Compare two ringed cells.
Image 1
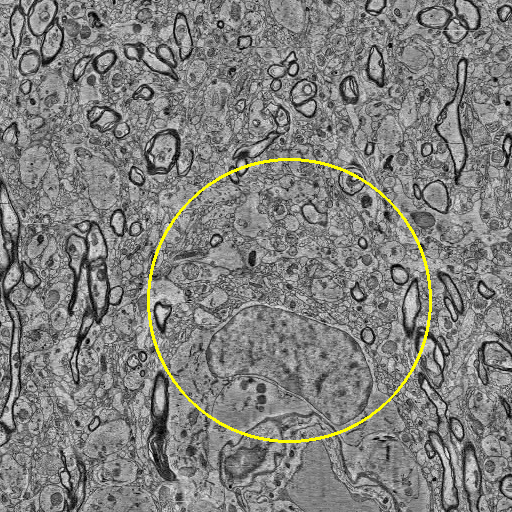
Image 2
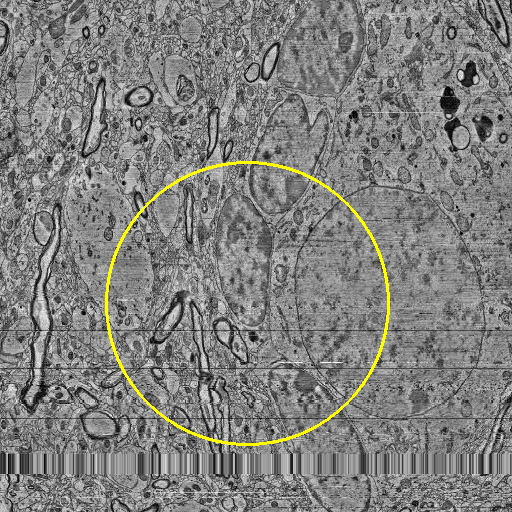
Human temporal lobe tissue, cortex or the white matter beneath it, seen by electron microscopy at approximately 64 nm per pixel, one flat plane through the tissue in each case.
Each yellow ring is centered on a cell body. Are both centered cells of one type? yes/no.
yes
